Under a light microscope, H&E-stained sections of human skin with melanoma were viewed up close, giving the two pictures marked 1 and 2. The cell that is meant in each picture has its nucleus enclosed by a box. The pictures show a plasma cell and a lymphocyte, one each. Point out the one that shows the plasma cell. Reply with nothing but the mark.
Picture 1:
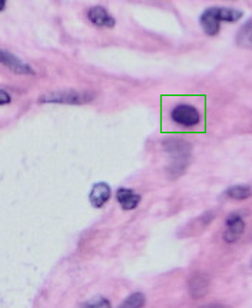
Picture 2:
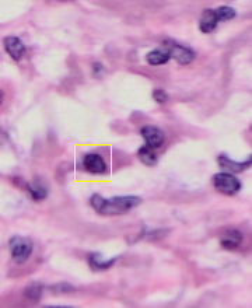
2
